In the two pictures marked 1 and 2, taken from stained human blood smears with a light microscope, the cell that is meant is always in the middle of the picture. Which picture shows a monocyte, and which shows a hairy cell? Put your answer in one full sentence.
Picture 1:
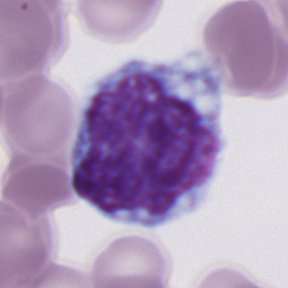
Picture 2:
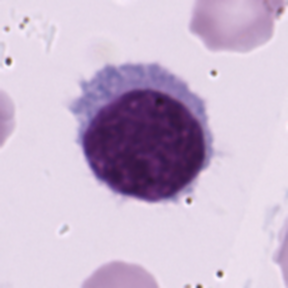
It is picture 1 that shows a monocyte, and picture 2 that shows a hairy cell.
